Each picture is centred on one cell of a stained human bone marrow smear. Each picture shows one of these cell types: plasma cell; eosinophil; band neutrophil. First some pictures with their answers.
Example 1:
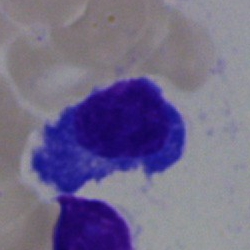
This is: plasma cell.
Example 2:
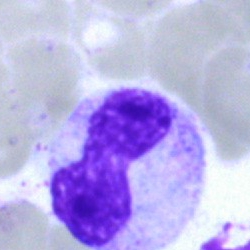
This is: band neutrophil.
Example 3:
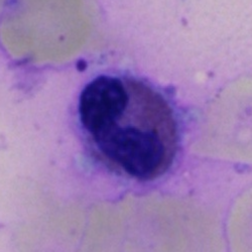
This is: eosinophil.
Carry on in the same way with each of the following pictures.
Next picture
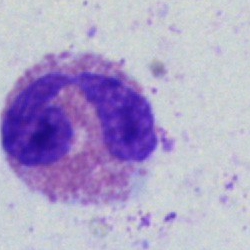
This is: eosinophil.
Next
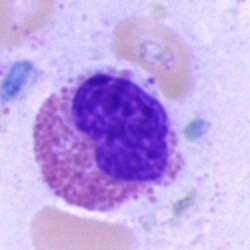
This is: eosinophil.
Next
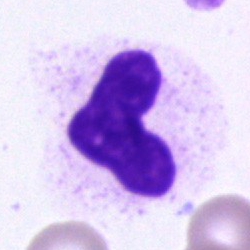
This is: band neutrophil.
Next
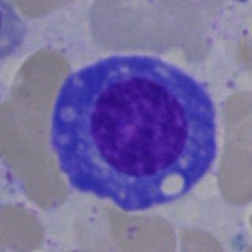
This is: plasma cell.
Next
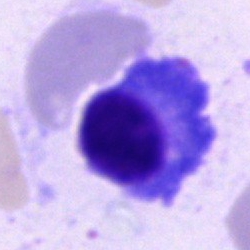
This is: plasma cell.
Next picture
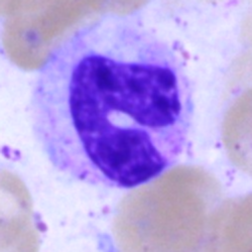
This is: band neutrophil.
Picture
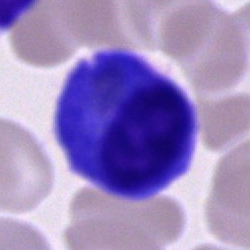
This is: plasma cell.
